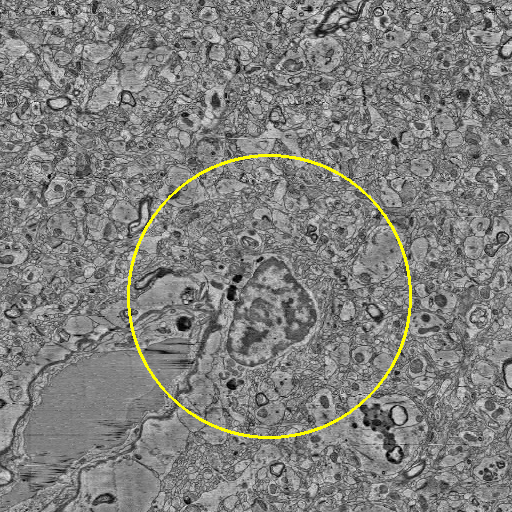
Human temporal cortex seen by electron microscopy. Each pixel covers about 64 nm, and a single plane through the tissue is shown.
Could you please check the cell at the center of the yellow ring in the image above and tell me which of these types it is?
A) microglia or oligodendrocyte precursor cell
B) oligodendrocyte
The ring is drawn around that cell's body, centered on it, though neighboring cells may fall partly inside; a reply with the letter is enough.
A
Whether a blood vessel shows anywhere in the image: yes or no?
Yes, one appears.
